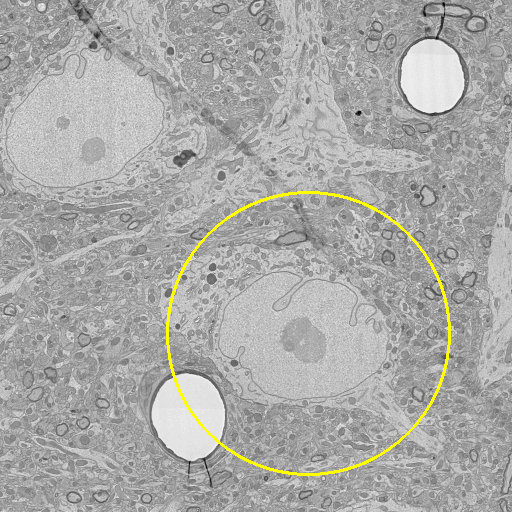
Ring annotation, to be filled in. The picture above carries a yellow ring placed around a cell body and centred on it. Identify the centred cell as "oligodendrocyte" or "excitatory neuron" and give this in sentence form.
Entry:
The cell in the middle of the ring is an excitatory neuron.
